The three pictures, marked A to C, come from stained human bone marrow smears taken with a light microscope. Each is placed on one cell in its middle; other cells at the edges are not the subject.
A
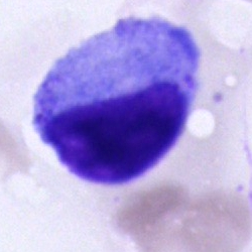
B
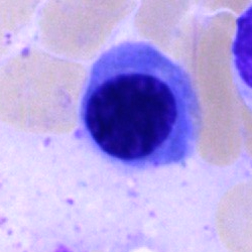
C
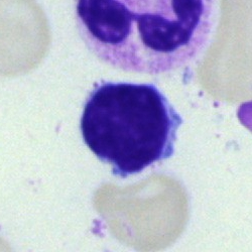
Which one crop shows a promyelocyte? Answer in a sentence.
Among the crops provided, a promyelocyte occupies the center of crop A.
